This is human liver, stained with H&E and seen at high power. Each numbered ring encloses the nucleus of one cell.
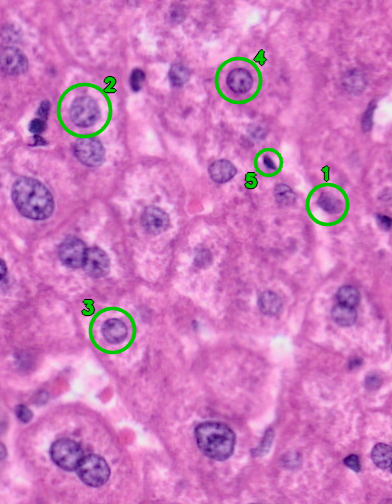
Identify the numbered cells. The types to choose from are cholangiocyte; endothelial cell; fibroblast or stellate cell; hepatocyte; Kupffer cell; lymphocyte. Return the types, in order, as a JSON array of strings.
["endothelial cell", "hepatocyte", "hepatocyte", "hepatocyte", "fibroblast or stellate cell"]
